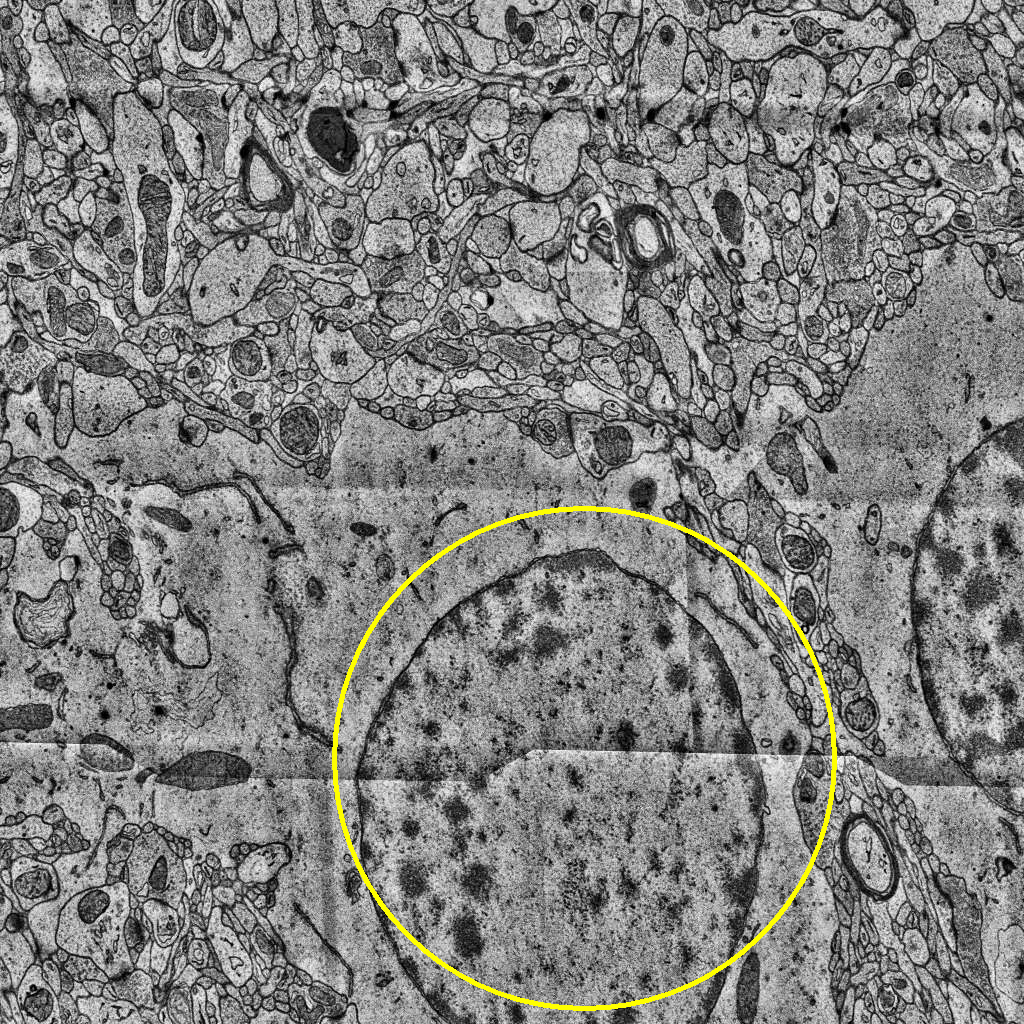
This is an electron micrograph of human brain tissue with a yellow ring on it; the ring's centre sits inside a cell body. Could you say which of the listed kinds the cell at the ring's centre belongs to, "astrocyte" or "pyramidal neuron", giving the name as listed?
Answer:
astrocyte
